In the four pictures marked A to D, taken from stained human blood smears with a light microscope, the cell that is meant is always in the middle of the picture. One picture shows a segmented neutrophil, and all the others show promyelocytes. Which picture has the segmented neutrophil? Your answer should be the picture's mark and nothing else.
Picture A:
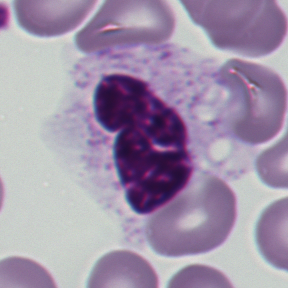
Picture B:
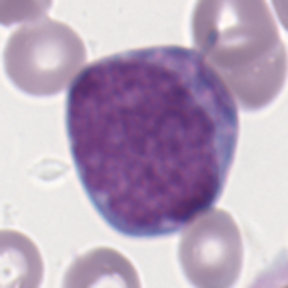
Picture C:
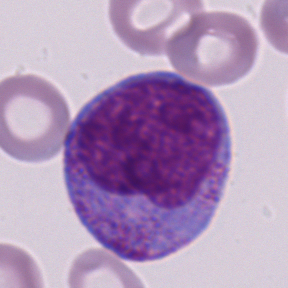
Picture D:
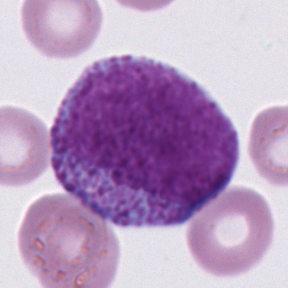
A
